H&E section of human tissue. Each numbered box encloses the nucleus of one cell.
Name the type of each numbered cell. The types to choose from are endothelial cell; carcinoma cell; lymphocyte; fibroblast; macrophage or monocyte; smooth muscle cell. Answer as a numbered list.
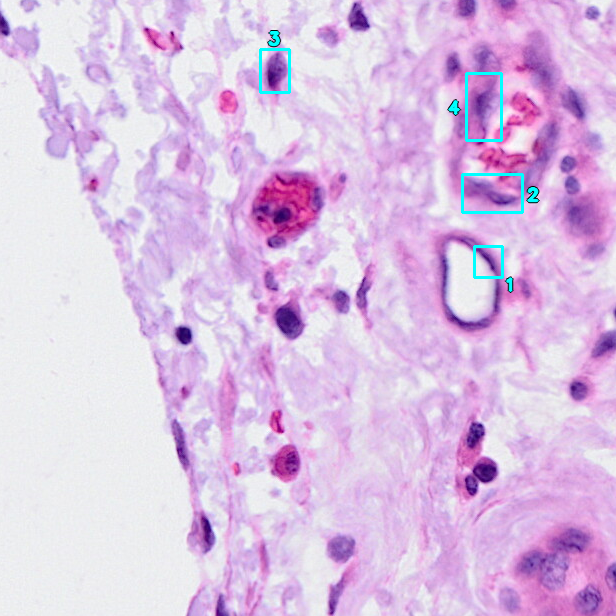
1. endothelial cell
2. endothelial cell
3. fibroblast
4. endothelial cell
